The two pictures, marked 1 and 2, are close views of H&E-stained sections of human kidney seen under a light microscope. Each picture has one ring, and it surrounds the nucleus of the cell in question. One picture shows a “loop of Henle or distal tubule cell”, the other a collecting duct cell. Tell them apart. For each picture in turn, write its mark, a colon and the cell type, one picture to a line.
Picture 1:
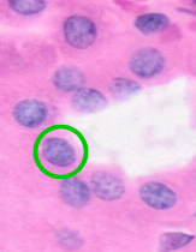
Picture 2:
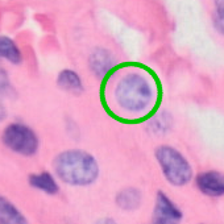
1: loop of Henle or distal tubule cell
2: collecting duct cell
